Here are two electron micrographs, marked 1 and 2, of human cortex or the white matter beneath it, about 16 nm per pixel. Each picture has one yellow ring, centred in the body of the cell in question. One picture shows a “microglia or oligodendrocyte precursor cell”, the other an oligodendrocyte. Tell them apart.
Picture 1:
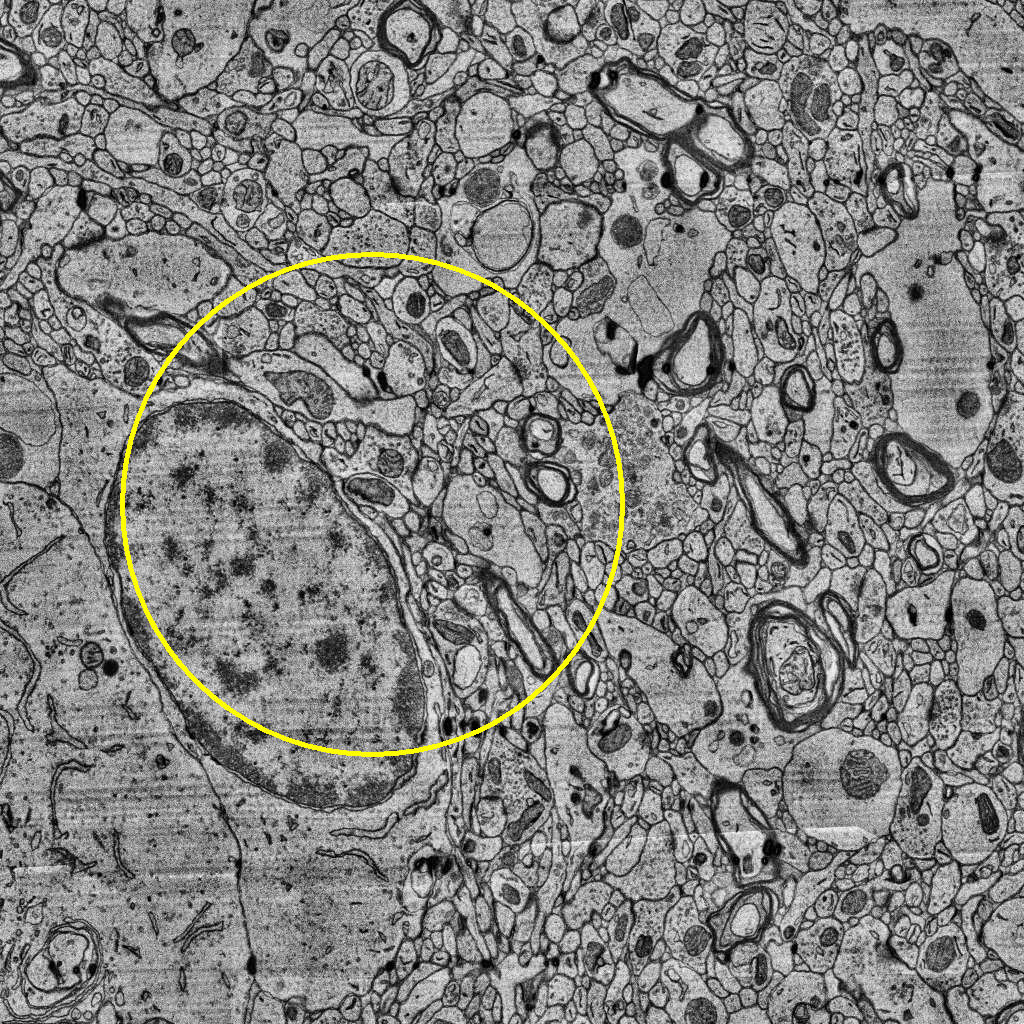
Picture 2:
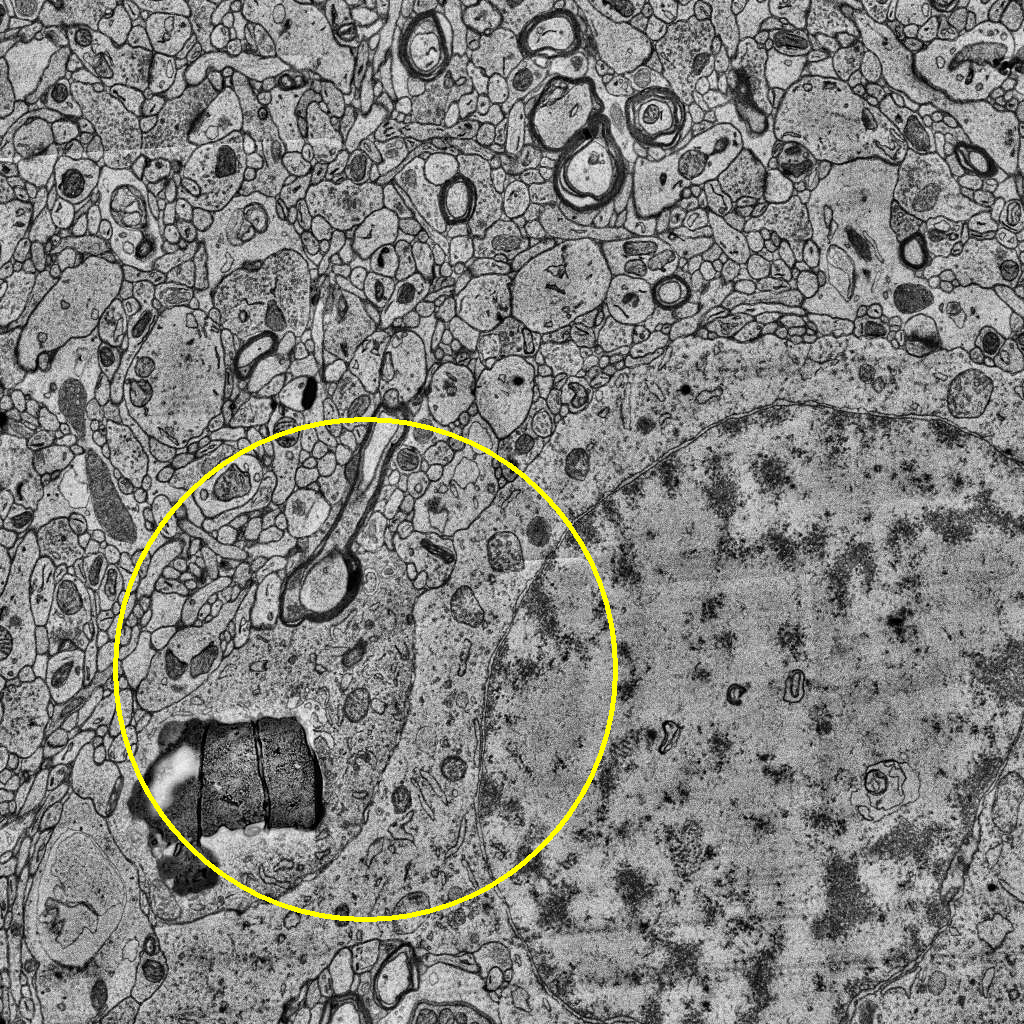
Picture 1 shows a “microglia or oligodendrocyte precursor cell” and picture 2 shows an oligodendrocyte.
